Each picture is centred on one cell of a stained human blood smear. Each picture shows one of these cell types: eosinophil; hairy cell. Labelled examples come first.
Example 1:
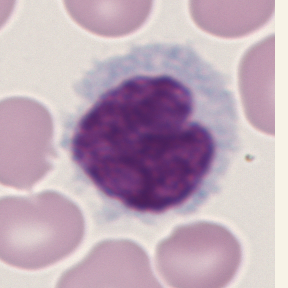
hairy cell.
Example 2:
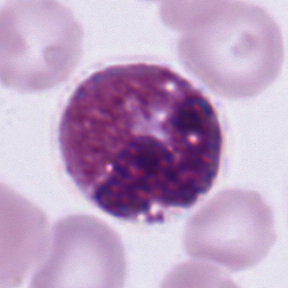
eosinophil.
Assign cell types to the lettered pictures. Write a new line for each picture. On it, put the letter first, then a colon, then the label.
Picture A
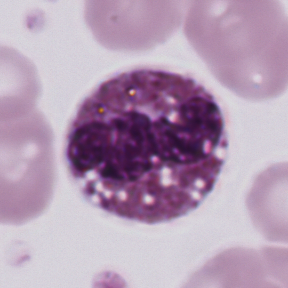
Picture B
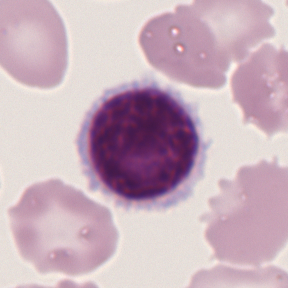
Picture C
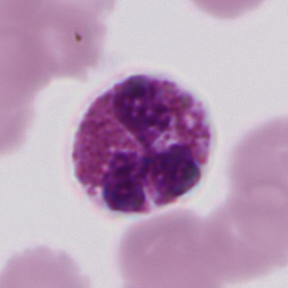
A: eosinophil.
B: hairy cell.
C: eosinophil.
